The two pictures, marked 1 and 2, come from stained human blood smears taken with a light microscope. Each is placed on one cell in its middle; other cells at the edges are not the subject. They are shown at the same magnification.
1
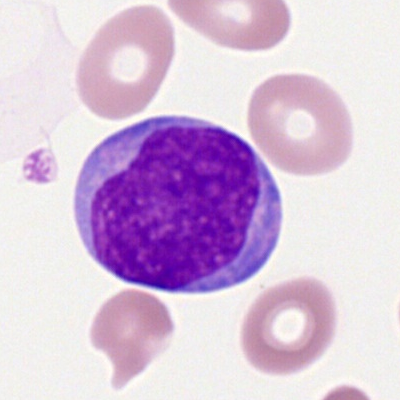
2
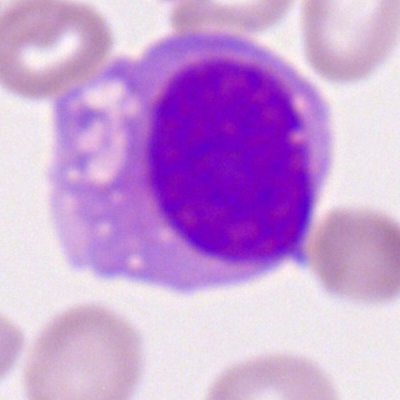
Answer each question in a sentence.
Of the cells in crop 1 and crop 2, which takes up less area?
The cell in crop 1 is smaller; the one in crop 2 has about 2 times its area.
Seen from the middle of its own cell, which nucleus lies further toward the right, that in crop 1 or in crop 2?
The nucleus in crop 2 lies further toward the right of its cell.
